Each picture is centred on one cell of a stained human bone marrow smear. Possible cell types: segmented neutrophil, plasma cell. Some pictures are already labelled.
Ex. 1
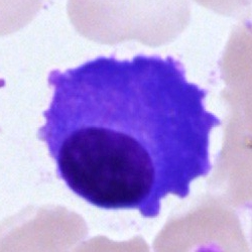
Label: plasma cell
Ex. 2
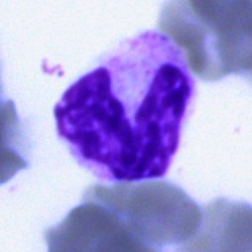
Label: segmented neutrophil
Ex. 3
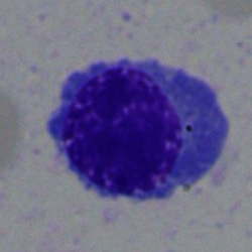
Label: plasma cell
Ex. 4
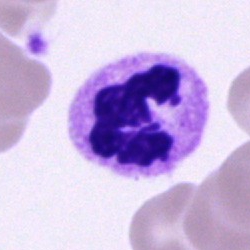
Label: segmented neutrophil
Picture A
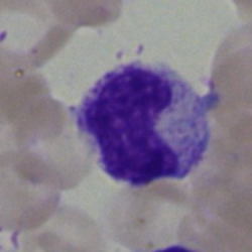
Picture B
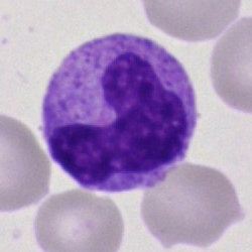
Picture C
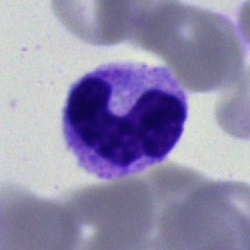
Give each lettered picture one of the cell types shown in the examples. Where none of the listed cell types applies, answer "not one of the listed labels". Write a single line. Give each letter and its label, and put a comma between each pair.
A not one of the listed labels, B not one of the listed labels, C not one of the listed labels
